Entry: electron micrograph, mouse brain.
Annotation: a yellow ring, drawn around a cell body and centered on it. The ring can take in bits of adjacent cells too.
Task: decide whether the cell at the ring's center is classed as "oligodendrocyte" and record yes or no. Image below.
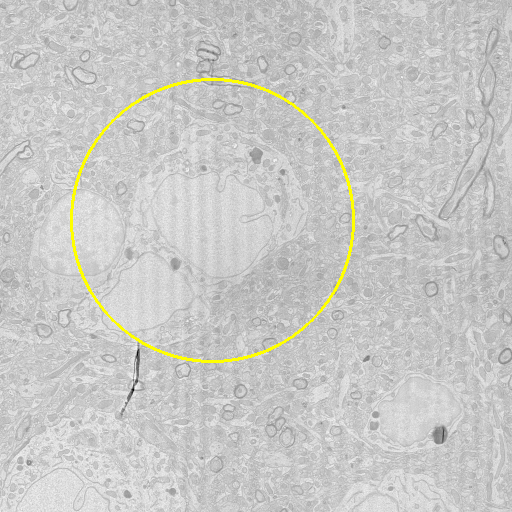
no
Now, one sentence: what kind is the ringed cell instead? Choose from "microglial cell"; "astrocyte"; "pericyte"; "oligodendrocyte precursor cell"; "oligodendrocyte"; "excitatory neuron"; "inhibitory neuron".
The cell this ring marks is an excitatory neuron.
